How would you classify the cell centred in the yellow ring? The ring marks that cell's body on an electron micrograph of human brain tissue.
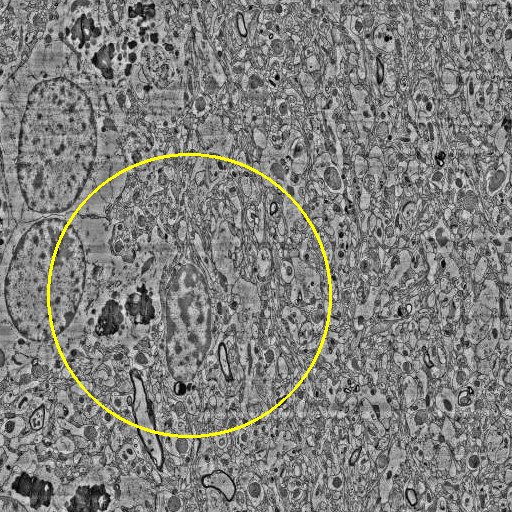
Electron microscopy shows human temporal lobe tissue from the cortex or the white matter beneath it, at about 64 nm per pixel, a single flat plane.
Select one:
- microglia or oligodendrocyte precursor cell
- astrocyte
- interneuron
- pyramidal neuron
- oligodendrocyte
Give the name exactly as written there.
microglia or oligodendrocyte precursor cell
